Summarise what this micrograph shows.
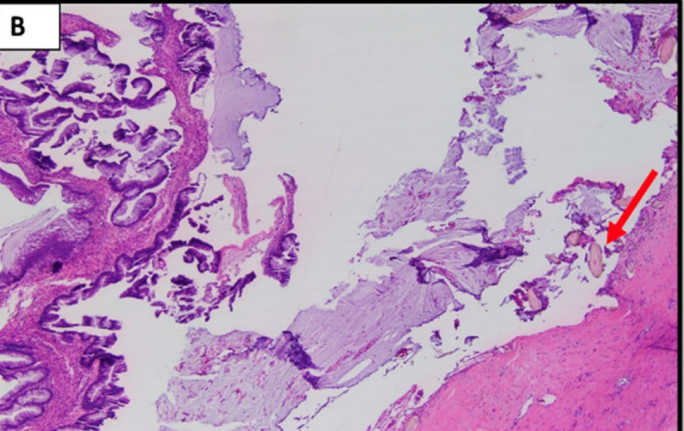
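At low power this shows a mucinous neoplasm lying next to hair follicle structures. On the left, folded purple epithelium lines cystic spaces and sits on a band of pink stroma. The spaces are partly filled with pale, streaky purple-grey mucoid material with detached fragments of epithelium. On the right, near dense pink fibrous tissue, lie a few small smooth oval tan structures that correspond to the hair-related elements.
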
